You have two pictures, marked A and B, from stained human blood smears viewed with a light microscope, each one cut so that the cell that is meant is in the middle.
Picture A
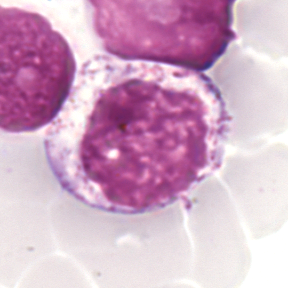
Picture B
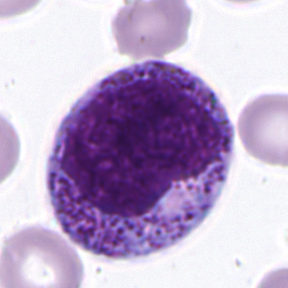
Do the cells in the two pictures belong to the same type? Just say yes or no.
no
